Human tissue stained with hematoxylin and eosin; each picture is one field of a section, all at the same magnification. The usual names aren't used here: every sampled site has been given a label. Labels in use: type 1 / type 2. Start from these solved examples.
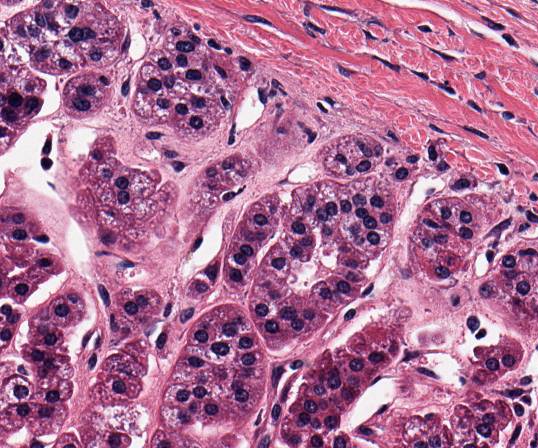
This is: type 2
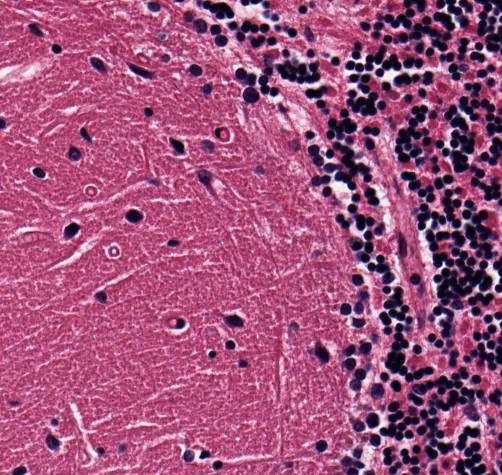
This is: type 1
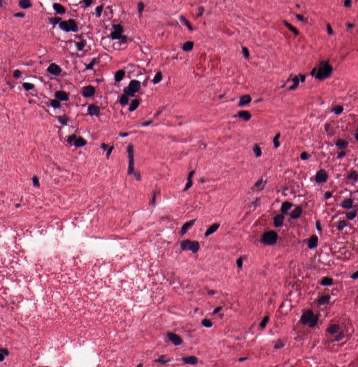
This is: type 2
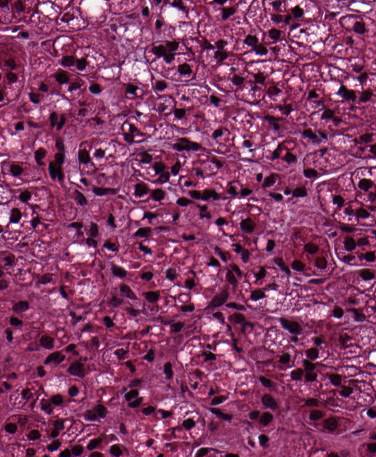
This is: type 2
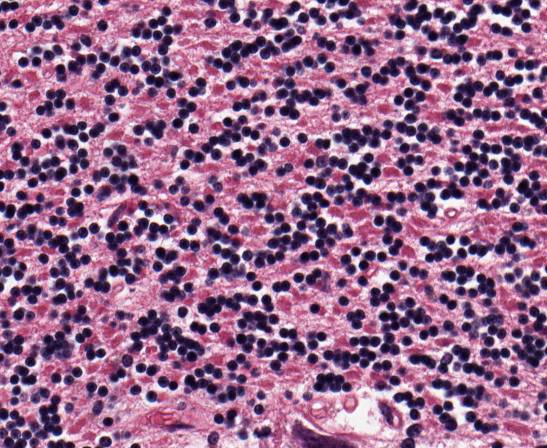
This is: type 1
